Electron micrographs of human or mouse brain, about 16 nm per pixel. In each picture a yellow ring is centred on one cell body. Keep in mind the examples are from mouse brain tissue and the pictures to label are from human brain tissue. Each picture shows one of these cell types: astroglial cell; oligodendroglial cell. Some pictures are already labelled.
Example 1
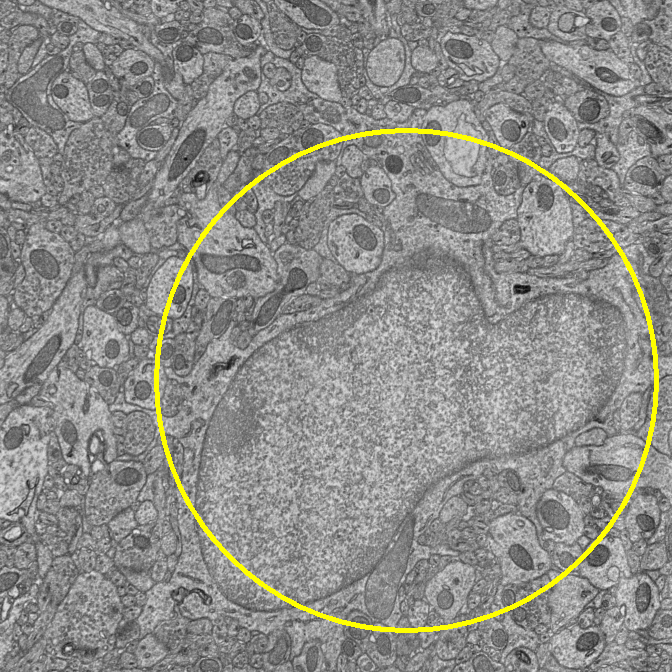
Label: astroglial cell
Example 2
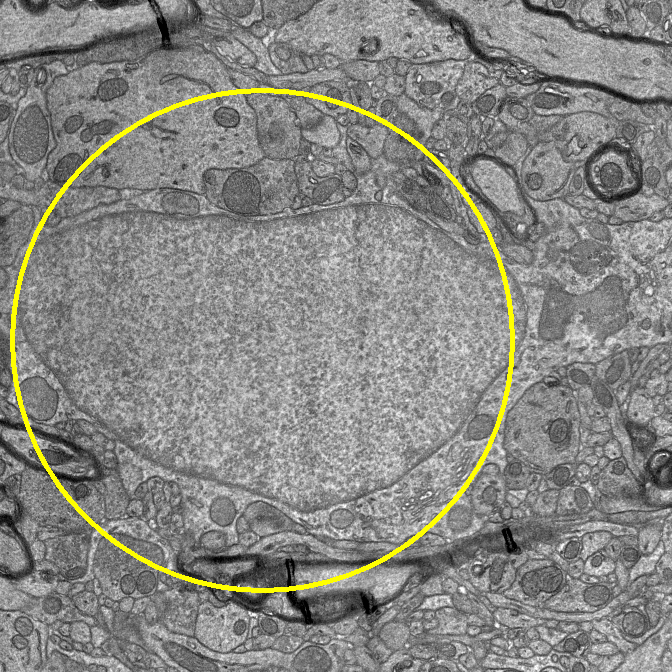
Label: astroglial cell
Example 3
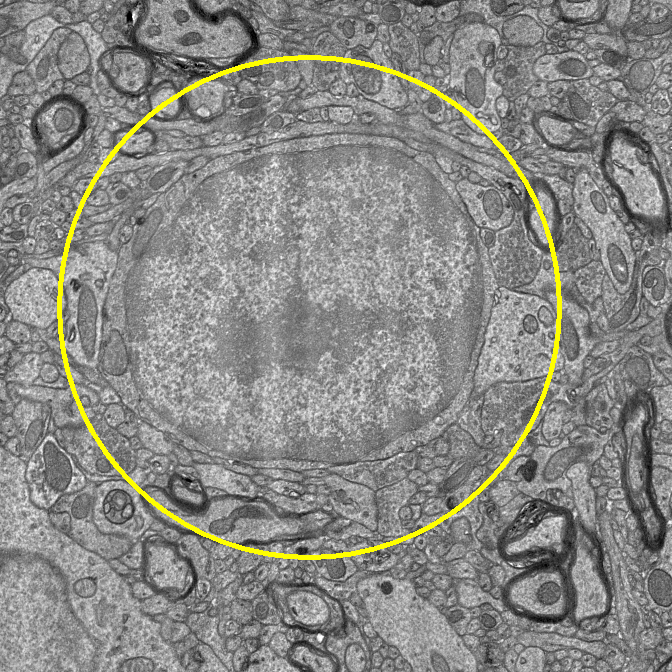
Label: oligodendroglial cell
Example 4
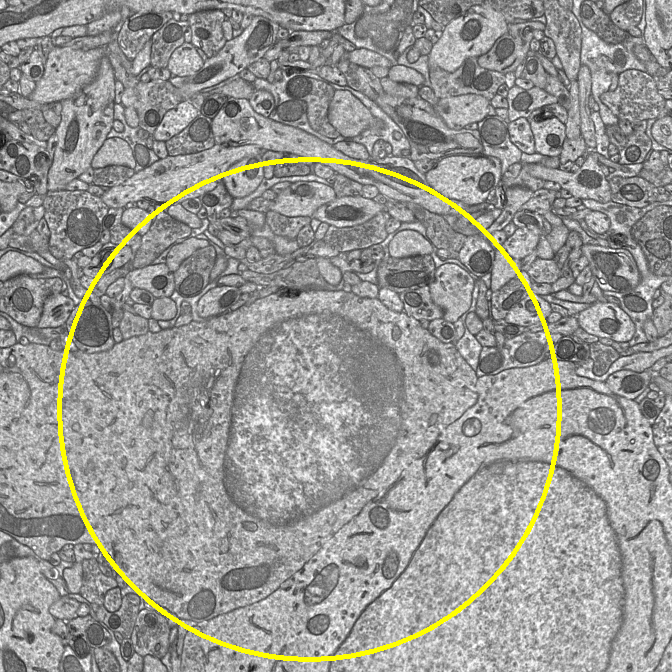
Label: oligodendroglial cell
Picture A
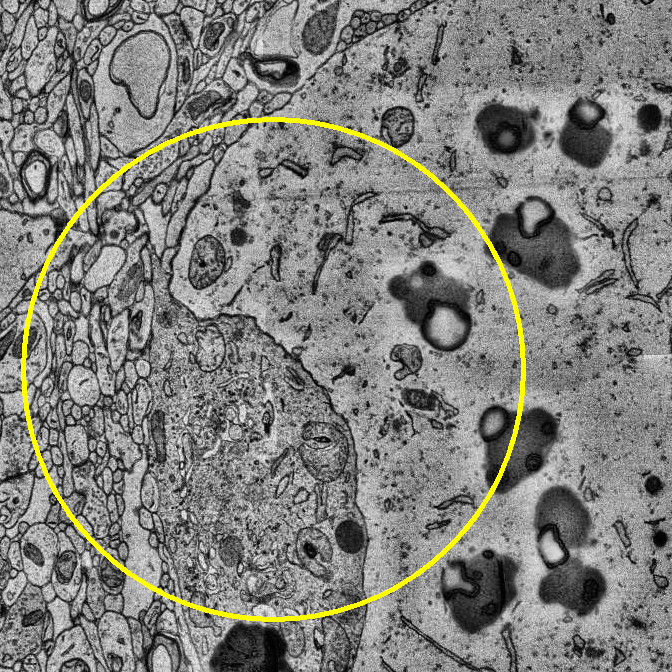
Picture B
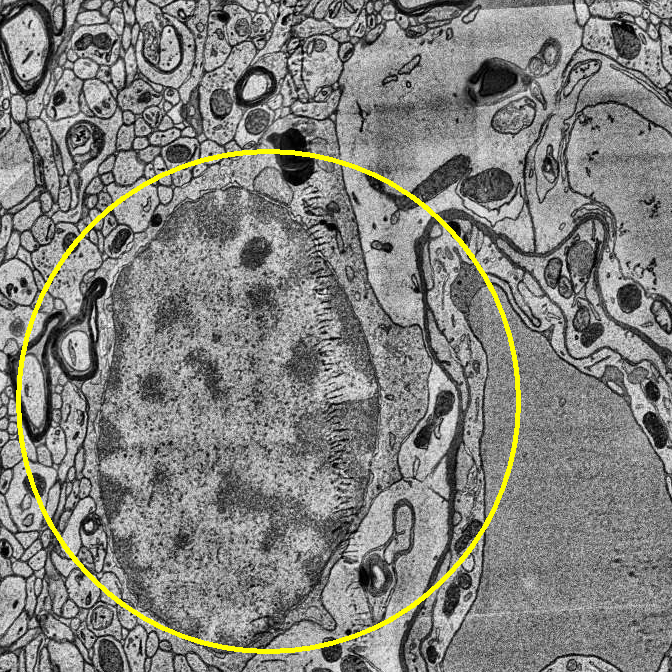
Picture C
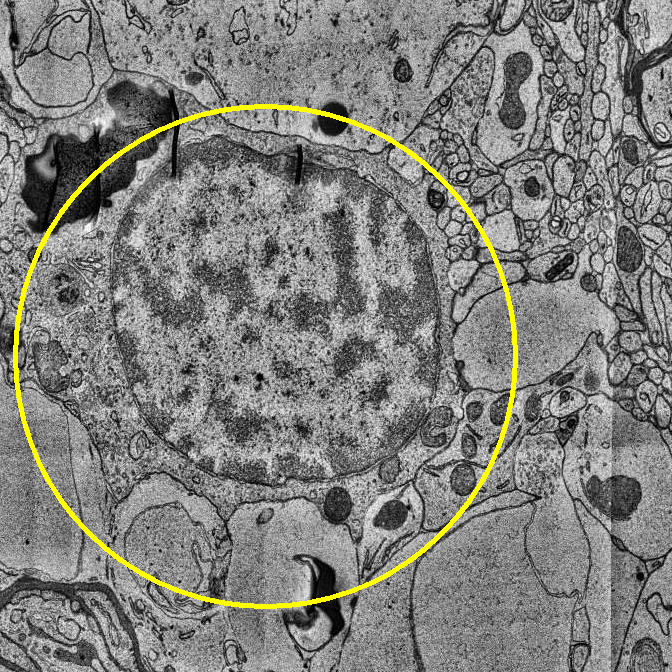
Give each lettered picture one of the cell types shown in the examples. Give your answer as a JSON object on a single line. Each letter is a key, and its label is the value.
{"A": "oligodendroglial cell", "B": "oligodendroglial cell", "C": "oligodendroglial cell"}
